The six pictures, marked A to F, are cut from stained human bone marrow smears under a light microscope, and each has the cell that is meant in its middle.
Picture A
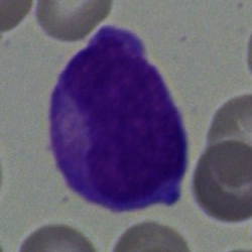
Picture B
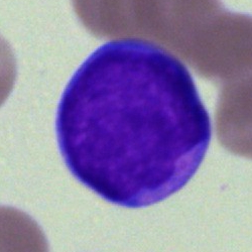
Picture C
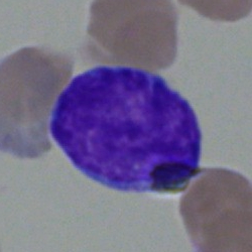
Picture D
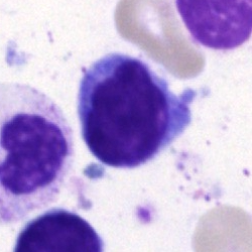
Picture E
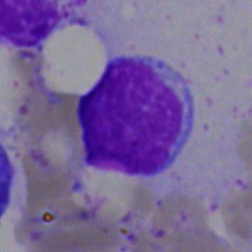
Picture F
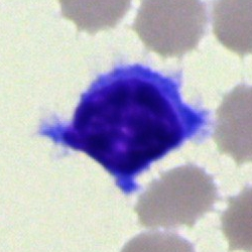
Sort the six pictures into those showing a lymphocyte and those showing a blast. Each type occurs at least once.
A: blast
B: blast
C: blast
D: lymphocyte
E: lymphocyte
F: lymphocyte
